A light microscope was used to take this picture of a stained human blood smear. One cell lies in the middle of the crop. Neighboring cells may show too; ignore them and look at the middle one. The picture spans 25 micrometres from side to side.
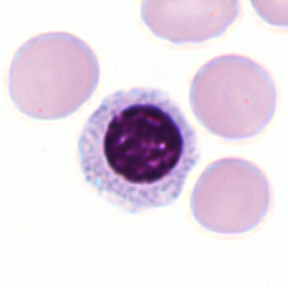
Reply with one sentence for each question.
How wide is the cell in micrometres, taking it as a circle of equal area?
About 10 micrometres: that is the cell's diameter.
